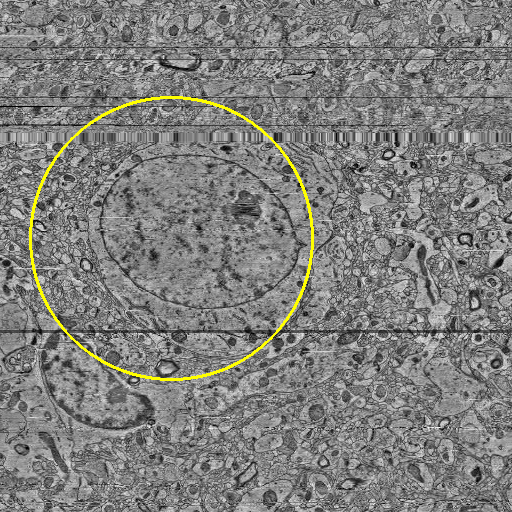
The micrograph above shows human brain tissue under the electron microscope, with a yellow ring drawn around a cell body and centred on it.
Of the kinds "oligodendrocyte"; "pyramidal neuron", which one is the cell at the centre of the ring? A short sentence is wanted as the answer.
The one at the centre of the ring is a pyramidal neuron.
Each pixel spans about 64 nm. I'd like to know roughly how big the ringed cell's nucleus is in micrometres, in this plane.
In this plane, the nucleus is roughly 13 by 10 micrometres.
